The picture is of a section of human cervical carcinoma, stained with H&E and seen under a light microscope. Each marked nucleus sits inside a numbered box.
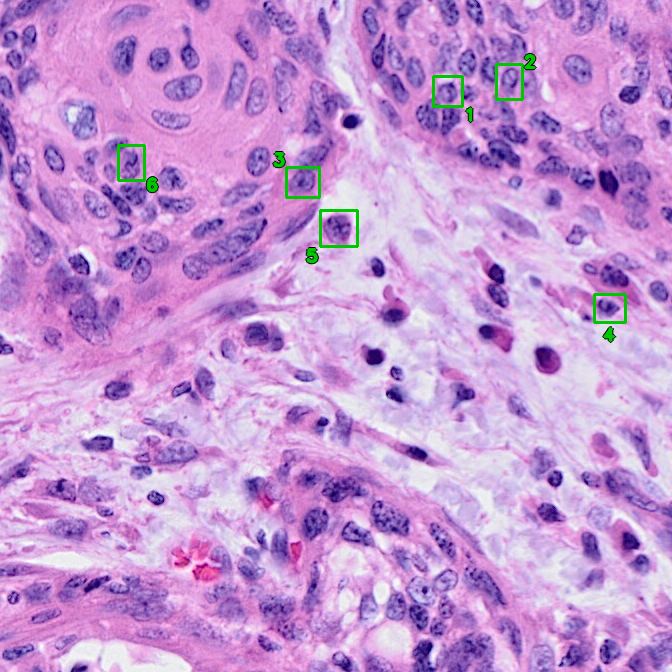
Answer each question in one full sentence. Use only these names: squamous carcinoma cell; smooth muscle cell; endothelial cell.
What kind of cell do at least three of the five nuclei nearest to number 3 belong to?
Squamous carcinoma cells make up most of the five nuclei closest to number 3.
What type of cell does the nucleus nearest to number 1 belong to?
Number 1 lies closest to the nucleus of a squamous carcinoma cell.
